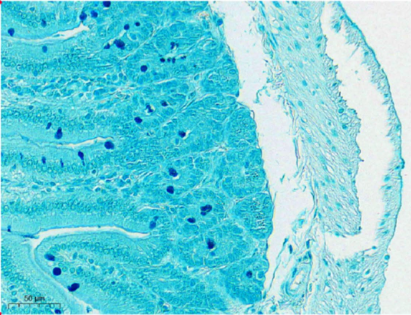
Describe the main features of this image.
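Small intestinal mucosa with closely packed villi lined by columnar epithelium stained pale blue-green. Goblet cells appear as scattered rounded dark blue mucin-filled cells within the epithelium. Villi are crowded with narrow spaces between them. On the right, the muscular wall appears as a paler band with elongated cells, partly separated from the mucosa by a clear gap, and a thin outer layer is seen beyond it.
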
